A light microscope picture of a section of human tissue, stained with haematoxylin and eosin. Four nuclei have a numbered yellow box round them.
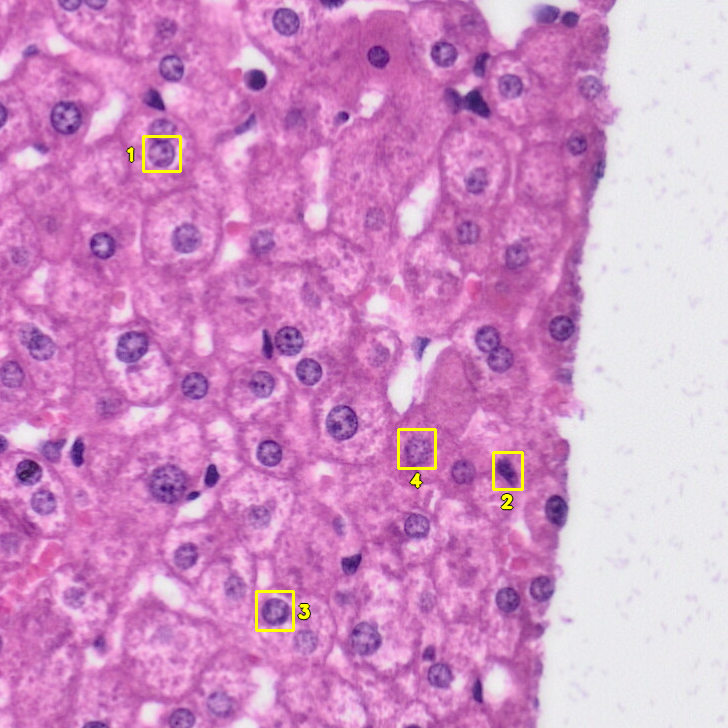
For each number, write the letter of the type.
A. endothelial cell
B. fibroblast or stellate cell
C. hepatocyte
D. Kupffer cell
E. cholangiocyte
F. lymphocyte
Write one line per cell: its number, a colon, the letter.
1: C
2: B
3: C
4: C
